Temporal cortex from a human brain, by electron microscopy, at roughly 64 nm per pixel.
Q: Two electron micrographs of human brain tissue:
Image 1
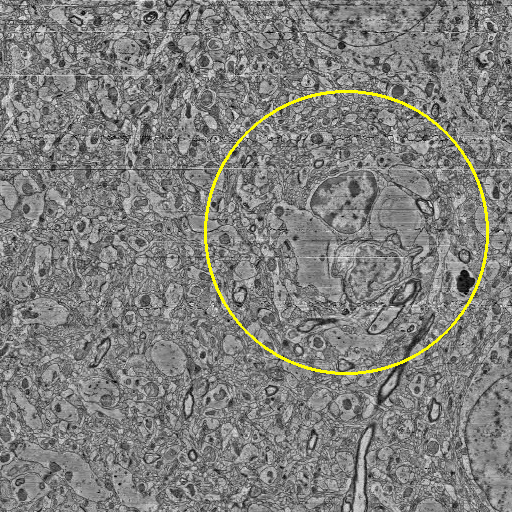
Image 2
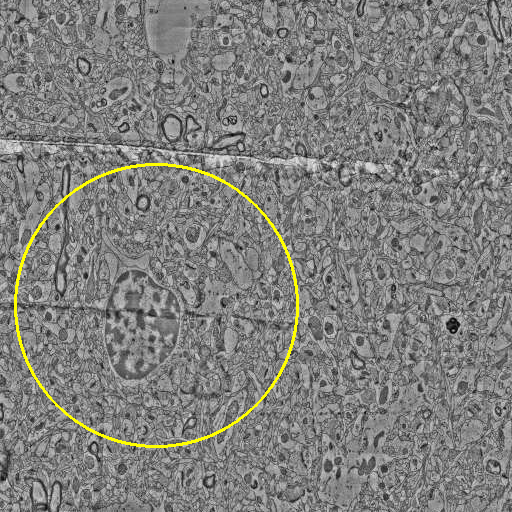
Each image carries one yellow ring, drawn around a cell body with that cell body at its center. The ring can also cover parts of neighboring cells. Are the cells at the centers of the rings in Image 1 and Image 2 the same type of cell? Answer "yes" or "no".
yes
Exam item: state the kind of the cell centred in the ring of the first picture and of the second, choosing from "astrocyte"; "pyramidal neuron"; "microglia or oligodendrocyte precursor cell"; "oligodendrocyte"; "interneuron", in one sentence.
Both rings mark a microglial cell or oligodendrocyte precursor cell, one in each picture.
